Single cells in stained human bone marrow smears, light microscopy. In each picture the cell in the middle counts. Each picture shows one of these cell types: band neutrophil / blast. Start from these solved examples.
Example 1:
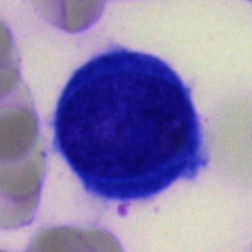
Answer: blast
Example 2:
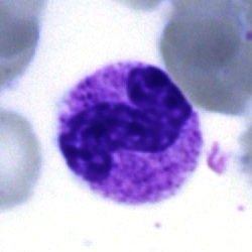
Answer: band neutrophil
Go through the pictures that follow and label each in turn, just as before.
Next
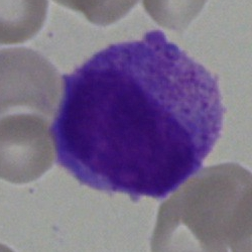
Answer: blast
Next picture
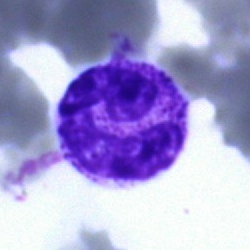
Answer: band neutrophil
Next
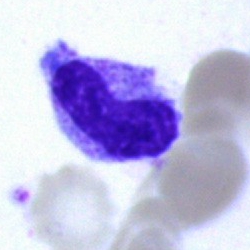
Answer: band neutrophil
